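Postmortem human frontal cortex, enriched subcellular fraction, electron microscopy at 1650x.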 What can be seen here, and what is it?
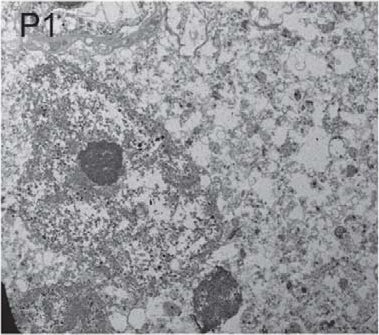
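A large rounded nucleus fills much of the left part of the field, its interior granular with fine dark specks. Within it lies a dense, dark, round body. Around it the background is crowded with small vesicles, membrane fragments and granular debris. Another dense round body appears near the lower edge.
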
